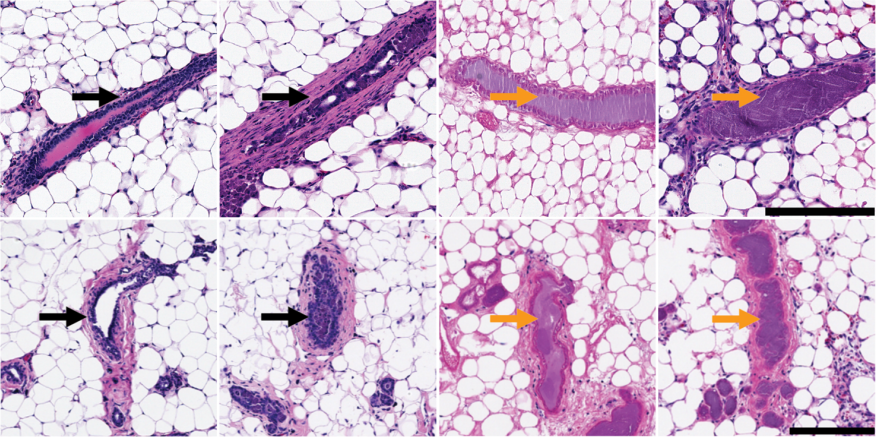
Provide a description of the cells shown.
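These are sections of mammary gland, with ducts lying in fat made of large empty-looking adipocytes with thin pink walls. In the ducts on the left, the wall is lined by closely packed cells with dark purple nuclei, and a band of pink connective tissue surrounds each duct. In the ducts on the right, the lumen and wall are taken up by pale pink to lilac material, and the lining shows almost no nuclei.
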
